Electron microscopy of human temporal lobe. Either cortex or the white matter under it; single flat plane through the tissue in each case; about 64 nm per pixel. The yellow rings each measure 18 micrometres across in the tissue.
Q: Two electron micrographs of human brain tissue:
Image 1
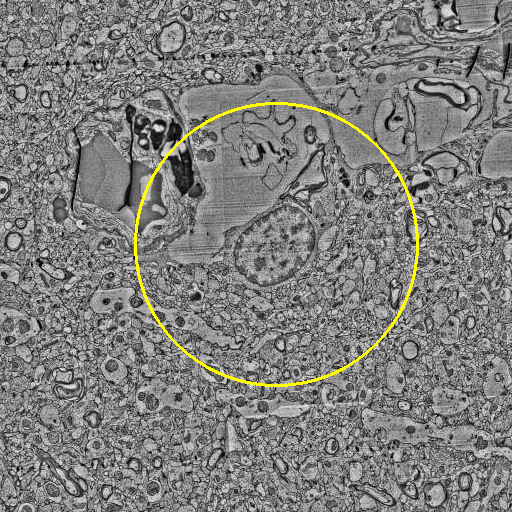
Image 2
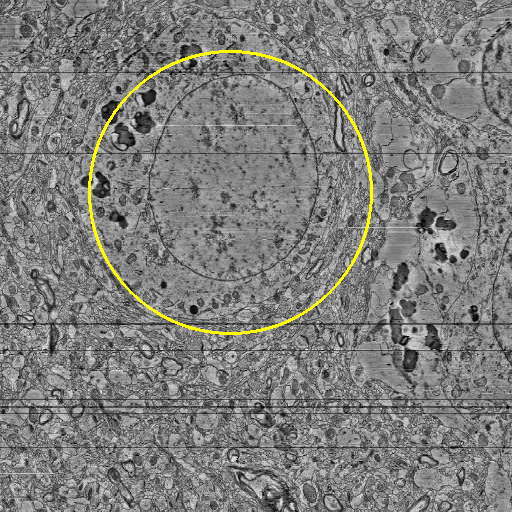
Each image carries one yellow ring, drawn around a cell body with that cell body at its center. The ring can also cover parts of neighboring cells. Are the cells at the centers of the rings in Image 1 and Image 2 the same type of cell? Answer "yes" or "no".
no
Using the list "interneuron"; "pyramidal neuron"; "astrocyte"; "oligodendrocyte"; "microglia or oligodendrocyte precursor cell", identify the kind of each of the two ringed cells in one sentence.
The first is an oligodendrocyte and the second is a pyramidal neuron.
